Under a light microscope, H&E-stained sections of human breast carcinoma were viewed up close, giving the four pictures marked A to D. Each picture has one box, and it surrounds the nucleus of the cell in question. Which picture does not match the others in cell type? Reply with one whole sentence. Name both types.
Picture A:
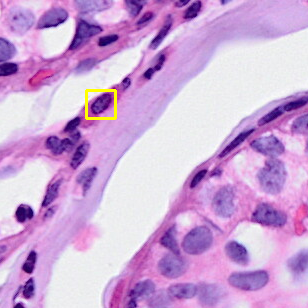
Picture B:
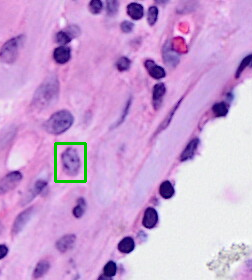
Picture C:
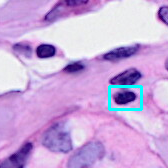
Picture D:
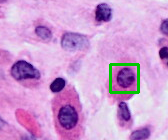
Unlike the rest, which show mast cells, picture C shows a lymphocyte.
